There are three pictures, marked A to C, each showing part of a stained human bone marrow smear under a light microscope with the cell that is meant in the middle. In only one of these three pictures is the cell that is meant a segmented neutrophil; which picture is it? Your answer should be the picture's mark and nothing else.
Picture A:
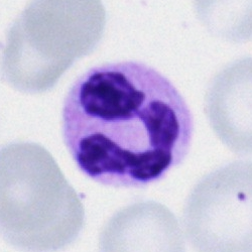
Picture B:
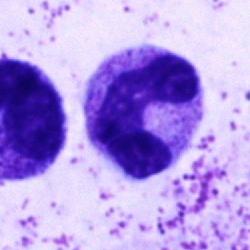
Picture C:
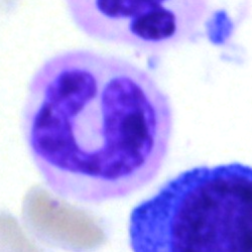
A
